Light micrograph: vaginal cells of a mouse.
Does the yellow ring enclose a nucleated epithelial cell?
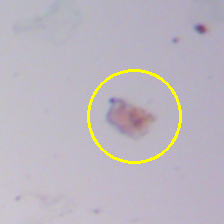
No. The ring encloses a cornified epithelial cell.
